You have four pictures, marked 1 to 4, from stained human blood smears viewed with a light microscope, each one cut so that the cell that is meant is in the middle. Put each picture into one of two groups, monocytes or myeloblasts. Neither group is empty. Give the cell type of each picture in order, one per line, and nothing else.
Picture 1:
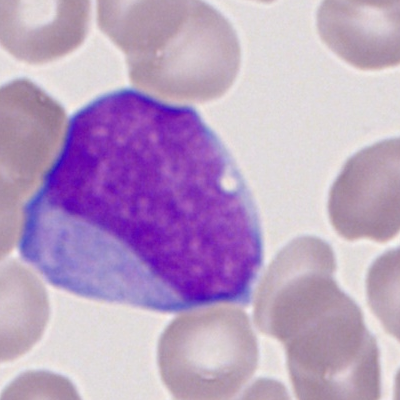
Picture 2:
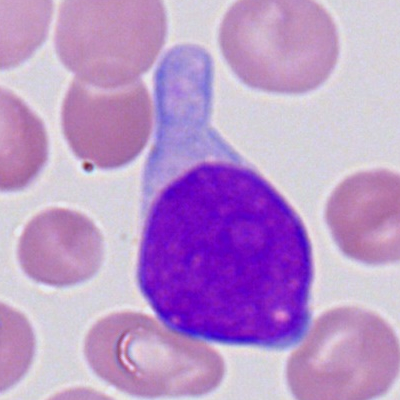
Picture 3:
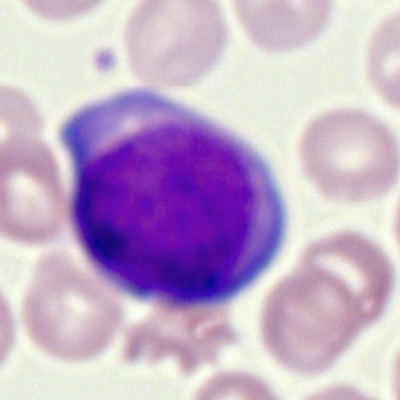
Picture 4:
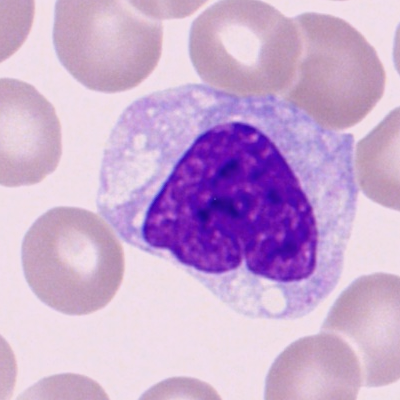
myeloblast
myeloblast
myeloblast
monocyte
